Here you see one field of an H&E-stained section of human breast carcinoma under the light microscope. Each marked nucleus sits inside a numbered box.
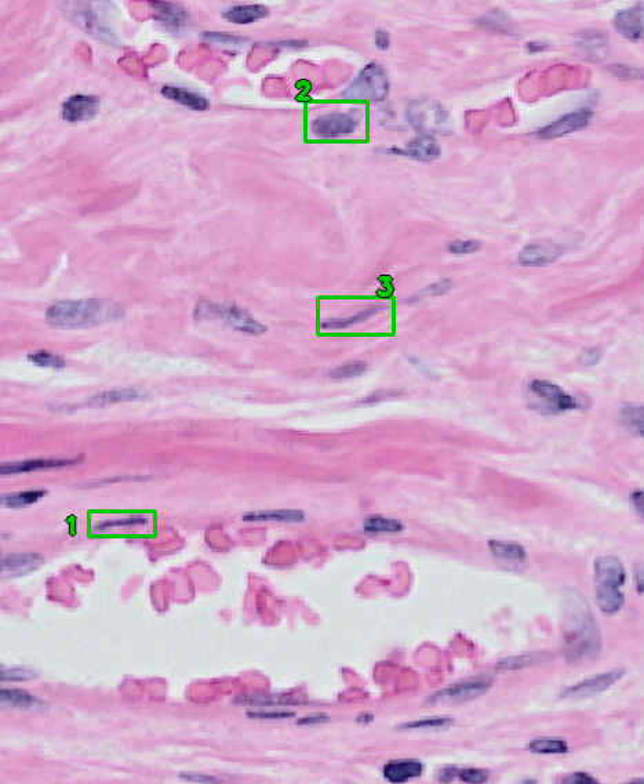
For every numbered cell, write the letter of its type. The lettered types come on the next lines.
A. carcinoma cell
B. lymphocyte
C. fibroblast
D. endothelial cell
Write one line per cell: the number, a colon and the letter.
1: D
2: D
3: C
